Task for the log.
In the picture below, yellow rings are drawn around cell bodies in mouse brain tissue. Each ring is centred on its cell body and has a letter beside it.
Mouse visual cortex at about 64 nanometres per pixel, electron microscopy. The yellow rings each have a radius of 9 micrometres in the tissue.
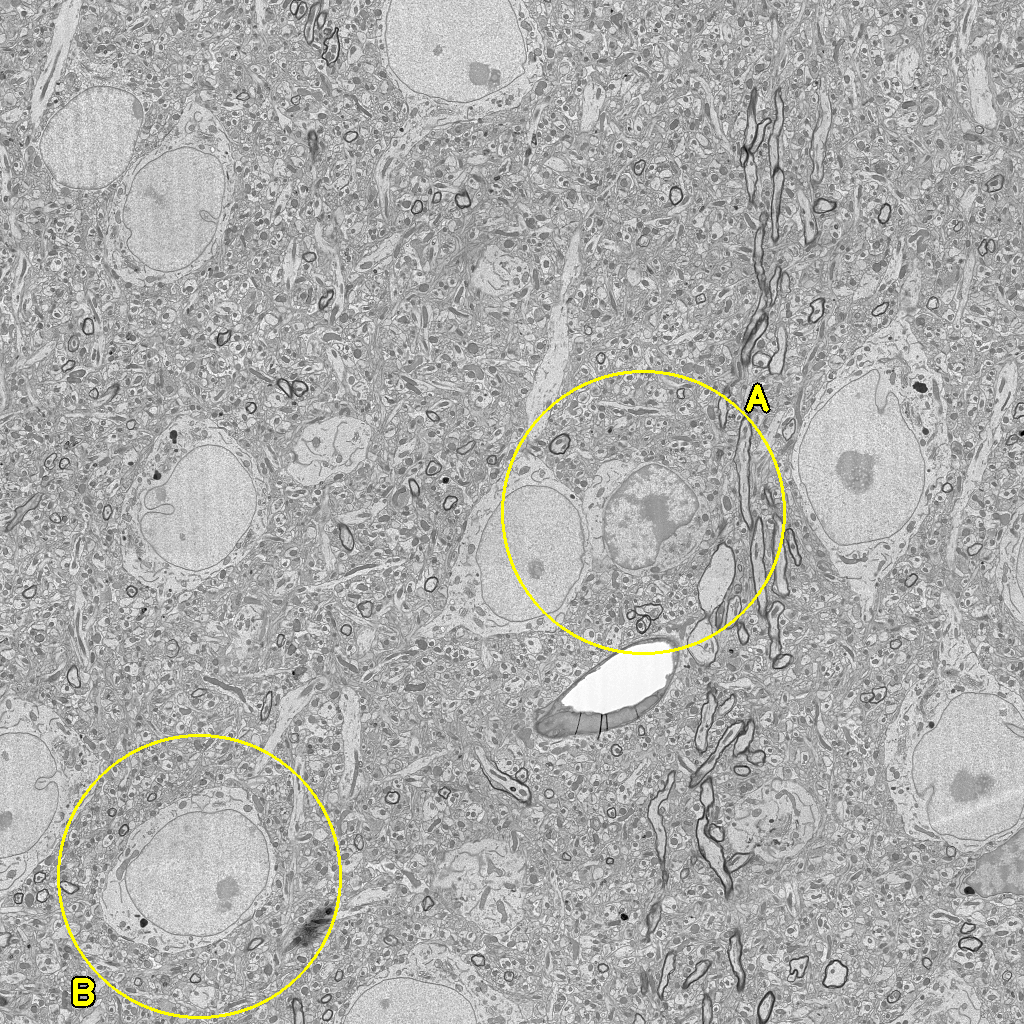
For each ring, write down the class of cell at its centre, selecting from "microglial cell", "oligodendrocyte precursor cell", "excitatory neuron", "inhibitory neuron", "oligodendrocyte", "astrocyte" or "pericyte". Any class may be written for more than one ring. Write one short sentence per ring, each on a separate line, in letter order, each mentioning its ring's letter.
The cell inside ring A, at its centre, is an oligodendrocyte.
The cell inside ring B, at its centre, is an excitatory neuron.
